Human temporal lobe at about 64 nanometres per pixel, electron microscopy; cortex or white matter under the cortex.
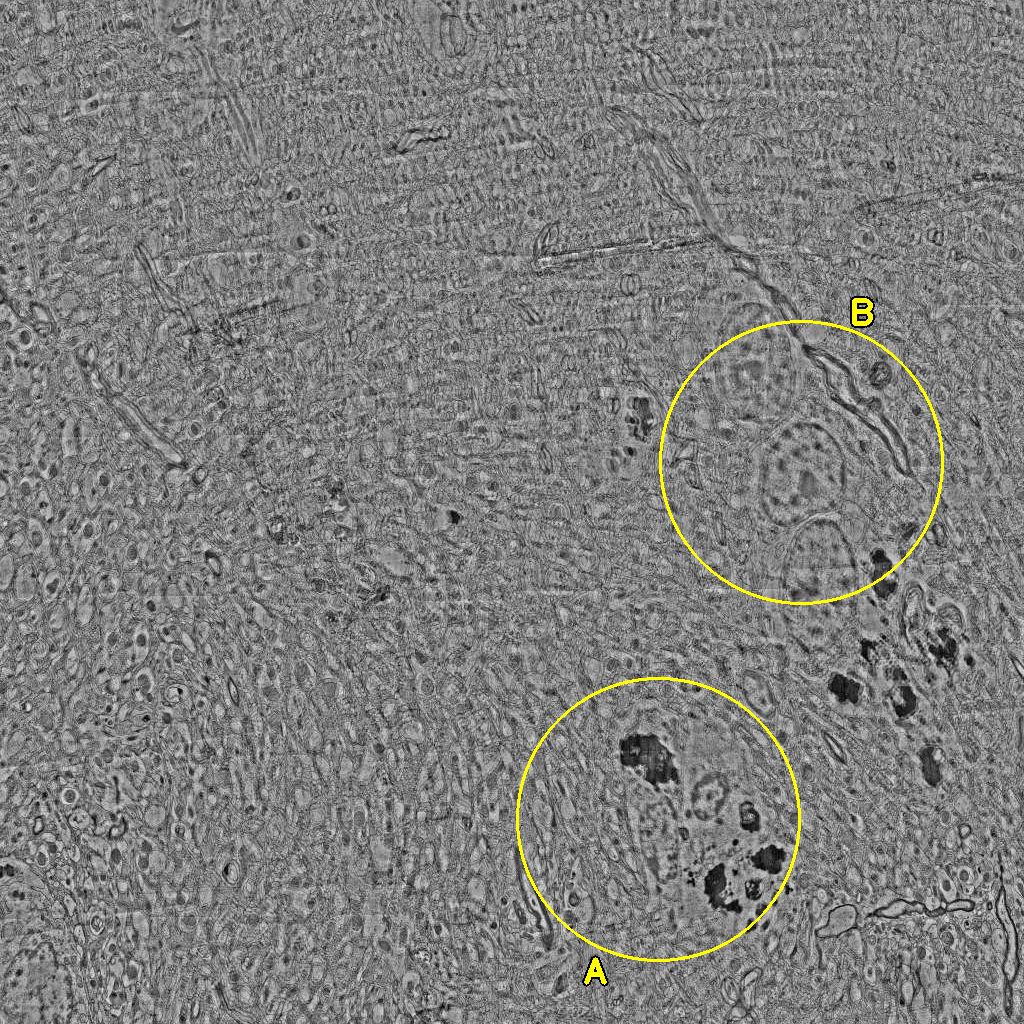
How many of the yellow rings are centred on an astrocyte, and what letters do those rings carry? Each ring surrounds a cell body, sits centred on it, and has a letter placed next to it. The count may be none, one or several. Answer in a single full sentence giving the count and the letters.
The letters A and B sit beside two rings, each of which is centred on an astrocyte.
